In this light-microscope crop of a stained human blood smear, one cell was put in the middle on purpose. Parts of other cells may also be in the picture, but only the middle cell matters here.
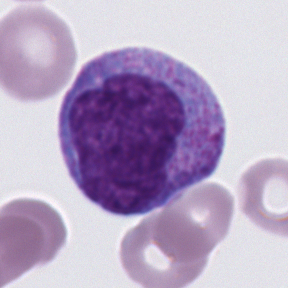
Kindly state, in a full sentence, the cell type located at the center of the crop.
The cell the crop is centered on is an atypical promyelocyte.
